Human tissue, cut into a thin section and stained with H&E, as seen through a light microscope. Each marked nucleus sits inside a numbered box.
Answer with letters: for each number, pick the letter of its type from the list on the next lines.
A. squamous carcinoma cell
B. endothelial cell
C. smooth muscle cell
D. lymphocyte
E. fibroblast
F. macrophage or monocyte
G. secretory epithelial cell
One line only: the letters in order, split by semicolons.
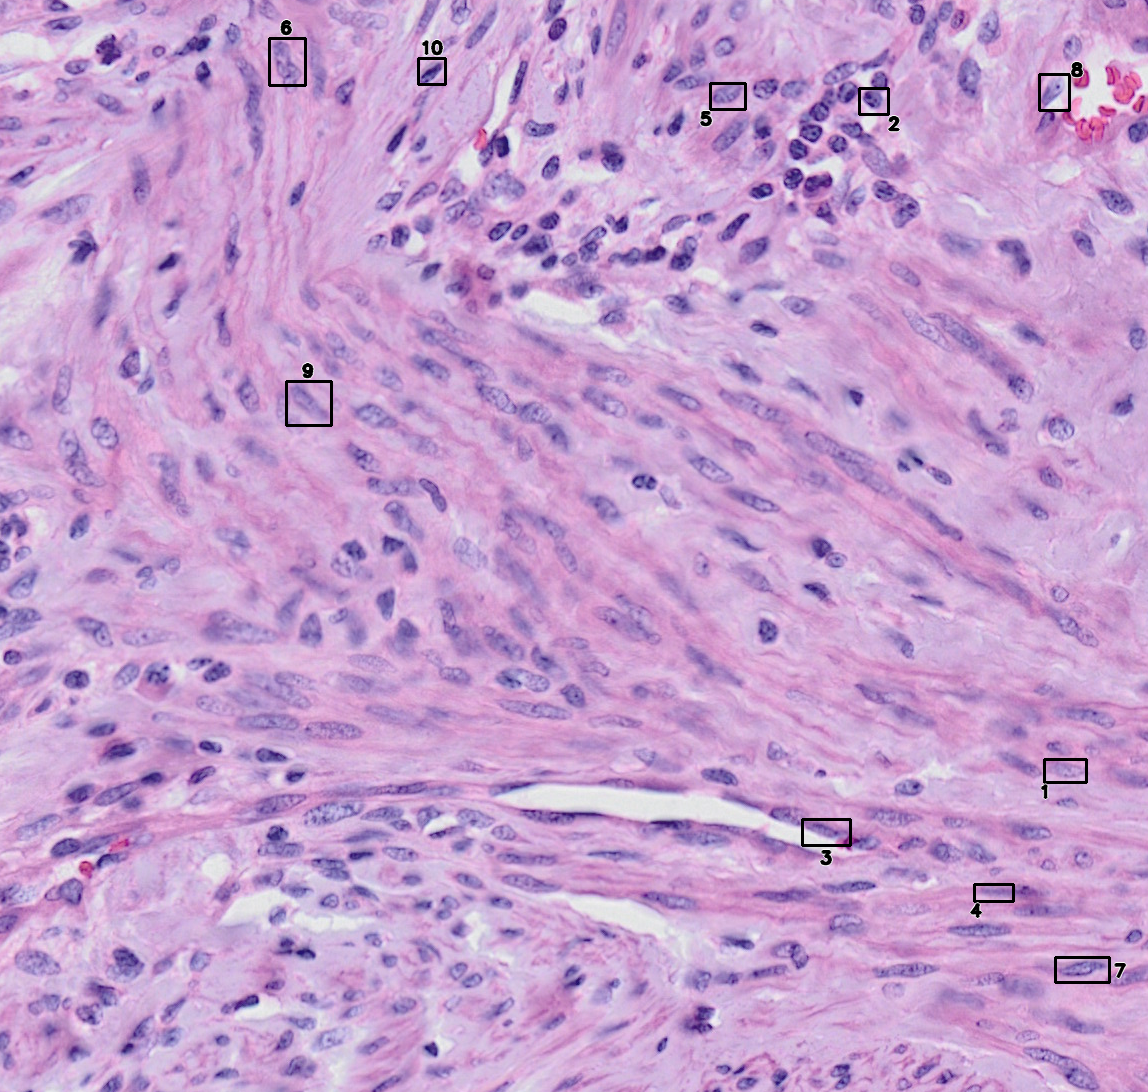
C; D; B; C; C; C; C; B; C; D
